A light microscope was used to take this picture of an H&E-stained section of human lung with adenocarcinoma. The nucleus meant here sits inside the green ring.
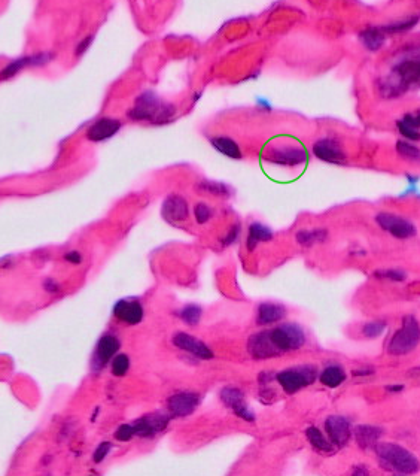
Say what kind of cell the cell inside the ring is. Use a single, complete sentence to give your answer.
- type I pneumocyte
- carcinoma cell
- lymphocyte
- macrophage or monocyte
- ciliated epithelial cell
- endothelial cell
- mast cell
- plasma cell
In the stained section, the cell inside the ring is a type I pneumocyte.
